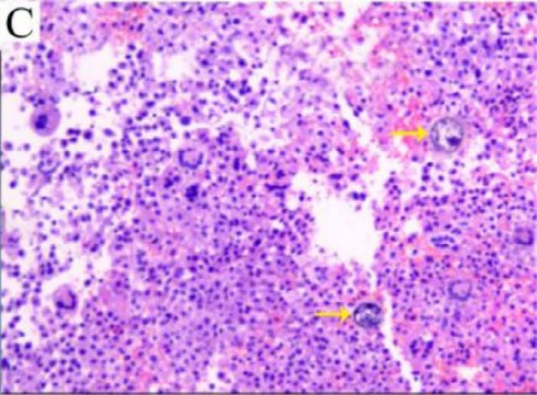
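The background is crowded and patchy, with pink areas resembling blood or fibrin and a few pale clear spaces. The large cells are rounded, several times the size of their neighbours, and have a pale or clear rim of cytoplasm around a dark, irregular, sometimes folded nucleus. They lie singly, spread across the field rather than in clusters, each surrounded by the smaller cells.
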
